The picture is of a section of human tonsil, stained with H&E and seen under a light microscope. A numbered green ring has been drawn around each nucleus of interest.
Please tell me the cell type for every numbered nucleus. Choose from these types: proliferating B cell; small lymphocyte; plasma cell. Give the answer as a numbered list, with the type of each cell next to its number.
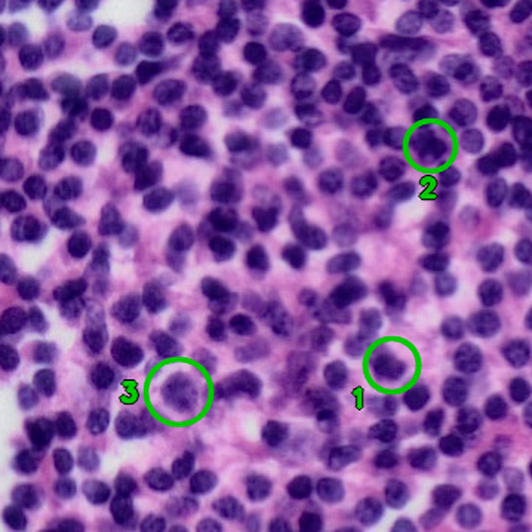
1. proliferating B cell
2. small lymphocyte
3. proliferating B cell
